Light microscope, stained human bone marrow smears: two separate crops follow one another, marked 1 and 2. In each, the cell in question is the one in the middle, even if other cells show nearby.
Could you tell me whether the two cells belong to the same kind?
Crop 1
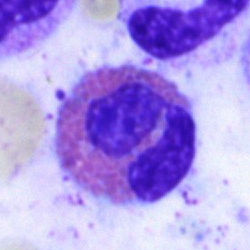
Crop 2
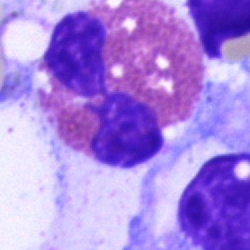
yes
